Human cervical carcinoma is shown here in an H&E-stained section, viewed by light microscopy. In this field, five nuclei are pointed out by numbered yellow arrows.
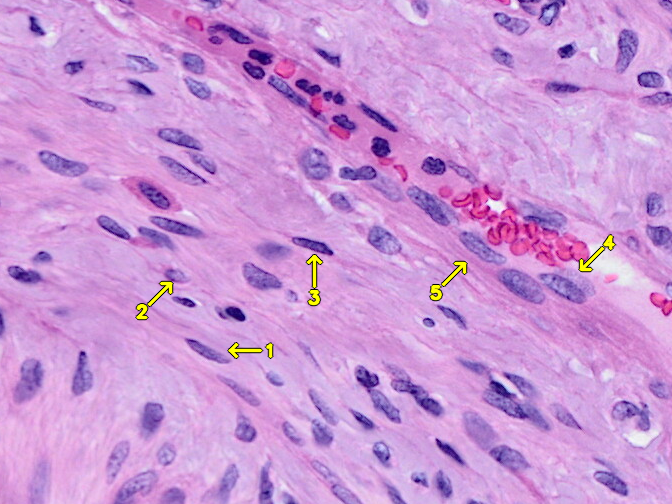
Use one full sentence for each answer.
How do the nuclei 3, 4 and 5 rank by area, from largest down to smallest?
Largest first, the order by area is 4, 5, 3.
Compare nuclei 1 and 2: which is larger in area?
Of the two, number 1 is bigger and takes up about 2 times the area of number 2.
